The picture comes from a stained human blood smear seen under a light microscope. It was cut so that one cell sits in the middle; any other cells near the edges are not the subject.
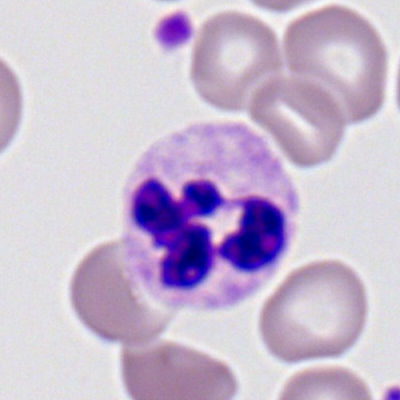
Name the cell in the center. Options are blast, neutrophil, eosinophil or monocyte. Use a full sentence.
The single cell at the center of the crop is a neutrophil.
